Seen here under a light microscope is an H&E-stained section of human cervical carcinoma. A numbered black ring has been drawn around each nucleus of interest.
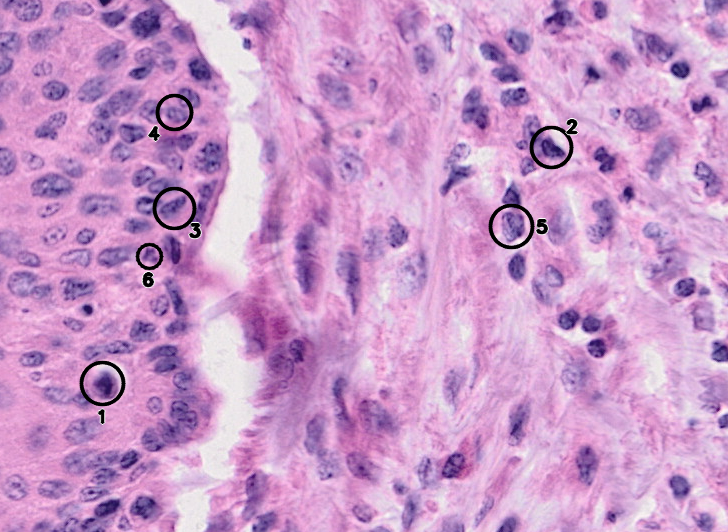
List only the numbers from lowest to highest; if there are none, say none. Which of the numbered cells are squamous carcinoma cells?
1, 3, 4, 6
